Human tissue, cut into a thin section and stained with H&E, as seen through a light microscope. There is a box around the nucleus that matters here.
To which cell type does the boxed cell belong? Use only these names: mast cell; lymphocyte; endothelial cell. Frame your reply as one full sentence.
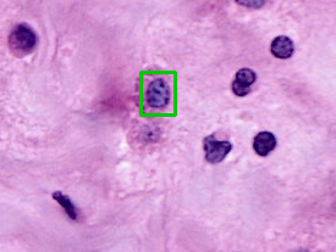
Assigned to a cell type, the boxed cell is a mast cell.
